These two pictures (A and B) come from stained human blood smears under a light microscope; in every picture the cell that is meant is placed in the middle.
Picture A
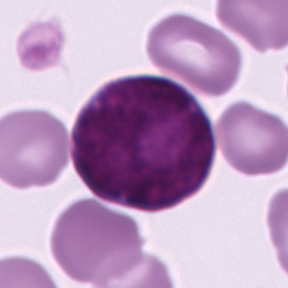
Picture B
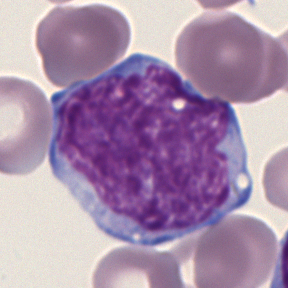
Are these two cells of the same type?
yes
